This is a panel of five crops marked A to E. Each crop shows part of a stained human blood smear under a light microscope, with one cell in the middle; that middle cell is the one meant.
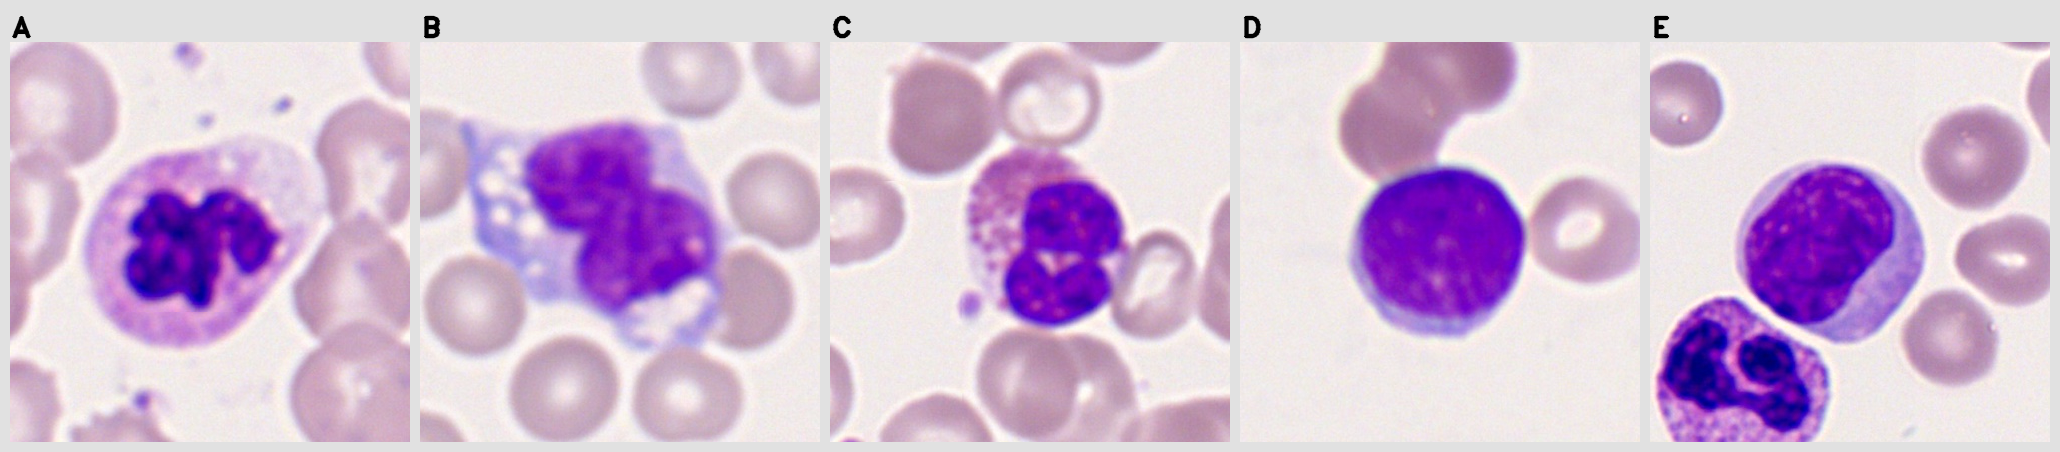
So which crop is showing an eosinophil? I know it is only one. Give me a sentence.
Among these crops, crop C holds an eosinophil.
